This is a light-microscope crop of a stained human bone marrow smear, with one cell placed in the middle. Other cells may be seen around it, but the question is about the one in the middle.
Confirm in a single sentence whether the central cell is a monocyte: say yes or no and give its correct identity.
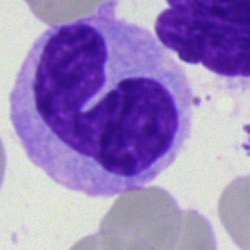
Yes, the crop is centred on a monocyte.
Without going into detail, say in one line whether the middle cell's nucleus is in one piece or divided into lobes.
A single compact nucleus, round, oval or kidney-shaped, is what this cell shows.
